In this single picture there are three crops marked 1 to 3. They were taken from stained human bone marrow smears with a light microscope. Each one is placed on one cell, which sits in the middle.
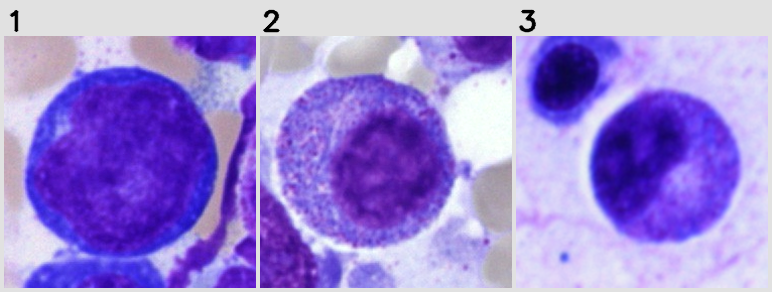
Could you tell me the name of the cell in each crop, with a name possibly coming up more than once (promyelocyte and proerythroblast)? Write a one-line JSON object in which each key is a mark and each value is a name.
{"1": "proerythroblast", "2": "promyelocyte", "3": "promyelocyte"}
